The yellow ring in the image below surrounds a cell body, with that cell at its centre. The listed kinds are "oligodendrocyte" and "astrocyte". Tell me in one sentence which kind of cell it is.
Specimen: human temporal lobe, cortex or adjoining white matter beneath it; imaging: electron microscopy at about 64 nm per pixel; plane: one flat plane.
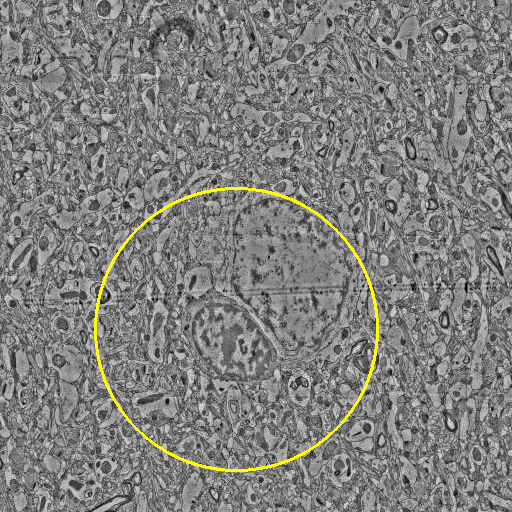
The centre of the ring holds an oligodendrocyte.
